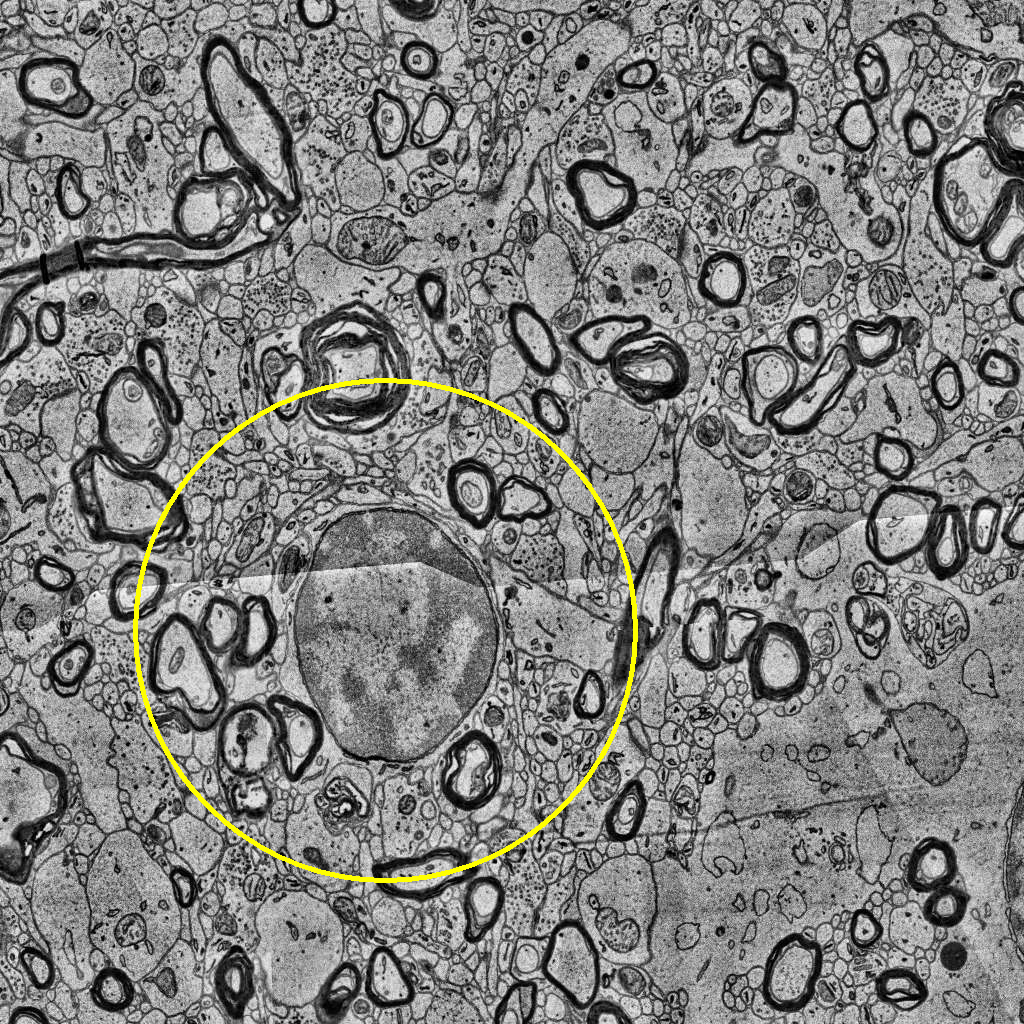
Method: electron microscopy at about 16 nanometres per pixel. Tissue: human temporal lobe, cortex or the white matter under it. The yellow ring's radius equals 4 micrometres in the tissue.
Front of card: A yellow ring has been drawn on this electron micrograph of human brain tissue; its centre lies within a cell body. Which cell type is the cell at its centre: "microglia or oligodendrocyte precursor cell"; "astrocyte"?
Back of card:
microglia or oligodendrocyte precursor cell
